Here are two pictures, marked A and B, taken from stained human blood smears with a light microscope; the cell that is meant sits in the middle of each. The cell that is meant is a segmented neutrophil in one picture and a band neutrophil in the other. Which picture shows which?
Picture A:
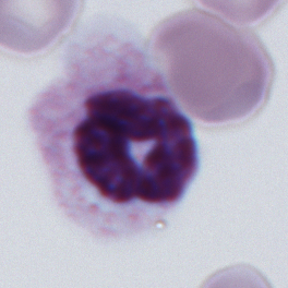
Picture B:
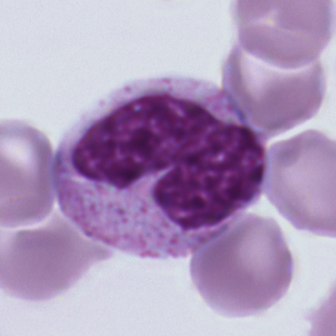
A: segmented neutrophil
B: band neutrophil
